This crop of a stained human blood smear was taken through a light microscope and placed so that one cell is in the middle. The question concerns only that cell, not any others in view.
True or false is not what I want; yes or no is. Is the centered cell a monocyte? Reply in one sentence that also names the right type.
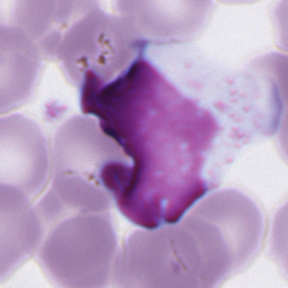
No, the central cell is not to be called a monocyte, being a large granular lymphocyte.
